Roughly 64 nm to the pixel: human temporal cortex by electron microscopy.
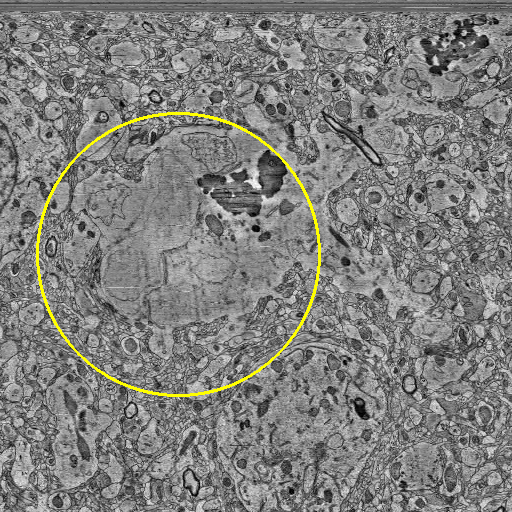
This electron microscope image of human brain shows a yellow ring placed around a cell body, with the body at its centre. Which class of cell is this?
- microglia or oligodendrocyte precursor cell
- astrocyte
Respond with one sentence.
The cell body at the ring's centre is an astrocyte.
